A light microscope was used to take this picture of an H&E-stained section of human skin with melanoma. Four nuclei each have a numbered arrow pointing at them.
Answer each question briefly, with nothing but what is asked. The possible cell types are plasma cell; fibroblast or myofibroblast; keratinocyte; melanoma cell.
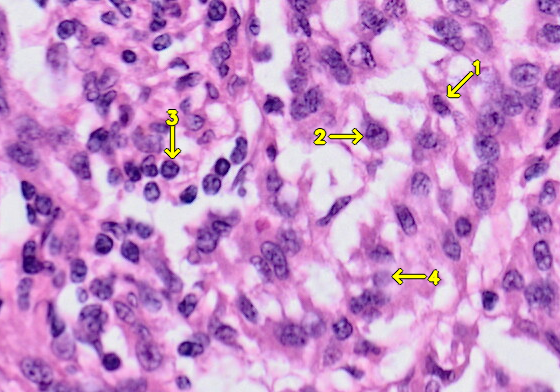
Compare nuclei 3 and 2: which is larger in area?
2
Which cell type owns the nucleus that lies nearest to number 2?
melanoma cell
